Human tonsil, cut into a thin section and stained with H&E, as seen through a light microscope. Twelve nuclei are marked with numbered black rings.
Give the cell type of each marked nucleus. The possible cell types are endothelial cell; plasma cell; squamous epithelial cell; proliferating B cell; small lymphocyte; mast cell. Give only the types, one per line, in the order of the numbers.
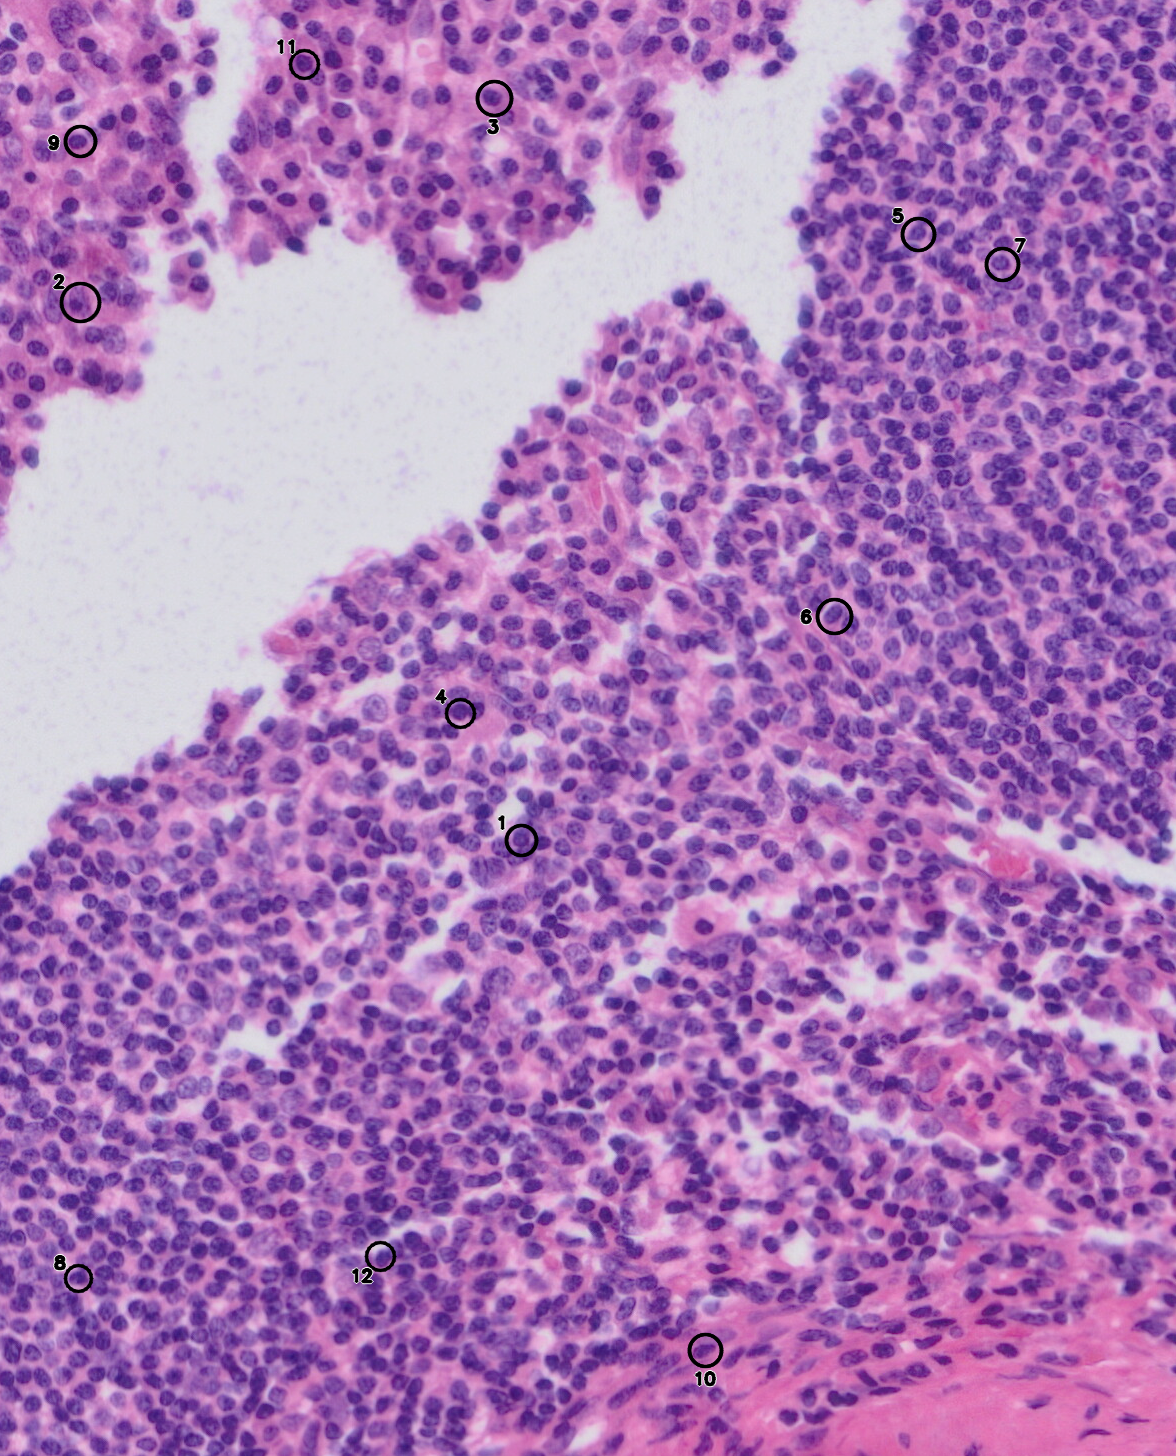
small lymphocyte
squamous epithelial cell
plasma cell
small lymphocyte
small lymphocyte
small lymphocyte
small lymphocyte
small lymphocyte
plasma cell
endothelial cell
plasma cell
small lymphocyte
